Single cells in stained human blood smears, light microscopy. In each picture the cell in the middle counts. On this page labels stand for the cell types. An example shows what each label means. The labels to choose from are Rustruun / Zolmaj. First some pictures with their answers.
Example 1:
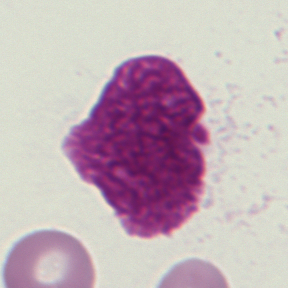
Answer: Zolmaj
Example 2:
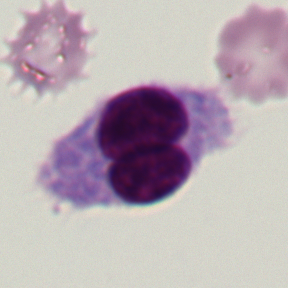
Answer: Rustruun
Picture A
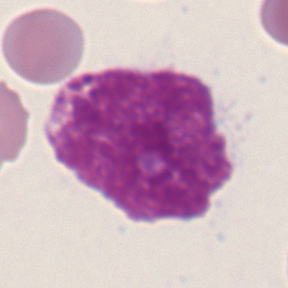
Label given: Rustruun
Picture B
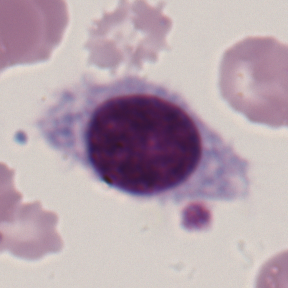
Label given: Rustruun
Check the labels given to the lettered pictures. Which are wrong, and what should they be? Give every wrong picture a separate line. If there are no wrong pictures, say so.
A: change Rustruun to Zolmaj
